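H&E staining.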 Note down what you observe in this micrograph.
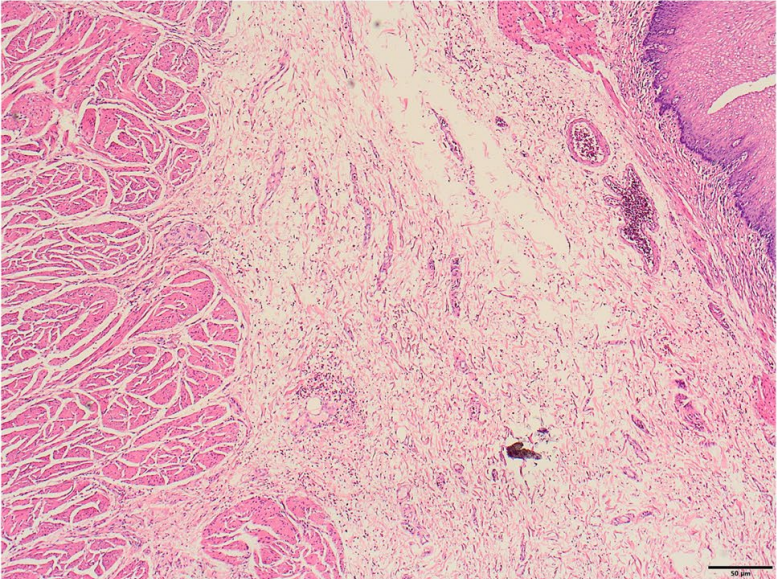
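This section shows a squamous epithelium at the upper right, its darker purple basal layer resting on the underlying stroma. Beneath it a broad, pale pink zone of loose fibrous connective tissue with scattered spindle-shaped nuclei, small vessels and a few clusters of dark cells separates the epithelium from the thick pink bundles of muscle on the left.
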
